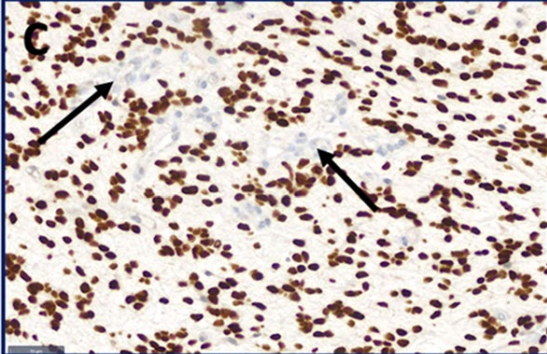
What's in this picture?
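Here the tumor cells show strong brown staining of their nuclei, which are oval to elongated and crowded together. The stain sits in the nuclei, while the pale background between them is only faintly tinged. Running through the field are thin vessel-like strands whose endothelial cells have unstained, bluish nuclei. These negative cells stand out as small pale islands among the dark brown tumor nuclei.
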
